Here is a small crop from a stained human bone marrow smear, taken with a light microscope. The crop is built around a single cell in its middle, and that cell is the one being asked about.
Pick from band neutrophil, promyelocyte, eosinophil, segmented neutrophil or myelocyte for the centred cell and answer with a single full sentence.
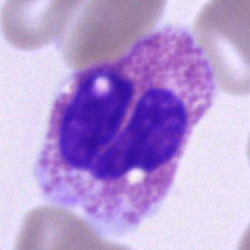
In short, the cell at the center is an eosinophil.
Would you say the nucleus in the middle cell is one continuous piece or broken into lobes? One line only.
It is worth mentioning that the nucleus carries two or more lobes.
